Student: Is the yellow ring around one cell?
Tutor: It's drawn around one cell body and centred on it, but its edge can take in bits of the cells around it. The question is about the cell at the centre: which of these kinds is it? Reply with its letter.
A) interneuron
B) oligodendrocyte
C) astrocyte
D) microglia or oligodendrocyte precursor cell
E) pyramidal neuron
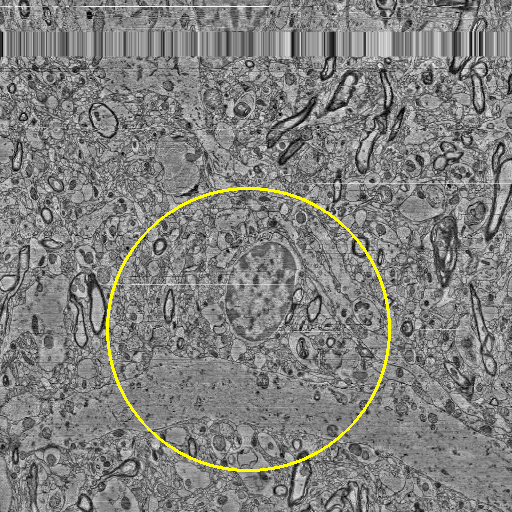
D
